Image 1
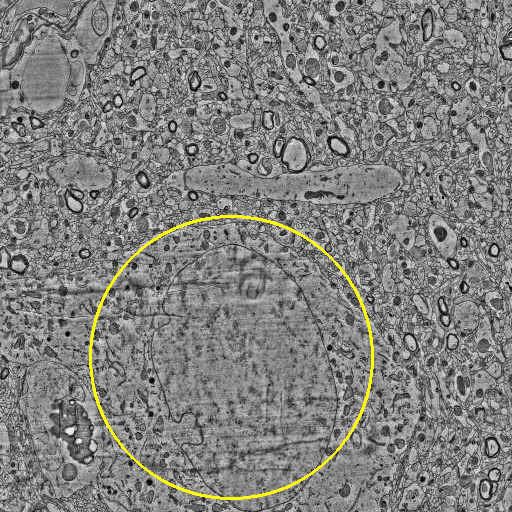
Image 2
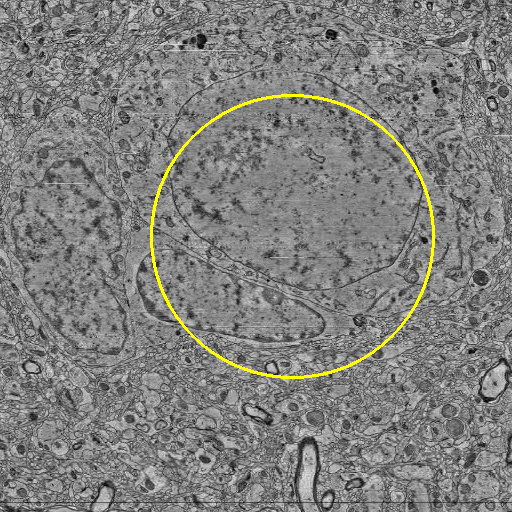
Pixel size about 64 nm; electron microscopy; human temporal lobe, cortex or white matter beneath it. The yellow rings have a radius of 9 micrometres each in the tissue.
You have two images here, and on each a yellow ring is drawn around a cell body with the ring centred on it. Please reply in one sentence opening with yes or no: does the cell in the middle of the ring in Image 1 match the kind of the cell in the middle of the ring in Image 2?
Yes, the two images show cells of one kind at the centres of their rings.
